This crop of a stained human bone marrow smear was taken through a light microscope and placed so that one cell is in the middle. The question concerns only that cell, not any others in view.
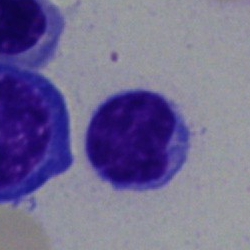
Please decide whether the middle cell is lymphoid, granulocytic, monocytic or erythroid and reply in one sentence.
The cell at the crop's center sits within the lymphoid lineage.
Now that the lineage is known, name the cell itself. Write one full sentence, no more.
Whatever else lies nearby, the middle cell is a lymphocyte.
